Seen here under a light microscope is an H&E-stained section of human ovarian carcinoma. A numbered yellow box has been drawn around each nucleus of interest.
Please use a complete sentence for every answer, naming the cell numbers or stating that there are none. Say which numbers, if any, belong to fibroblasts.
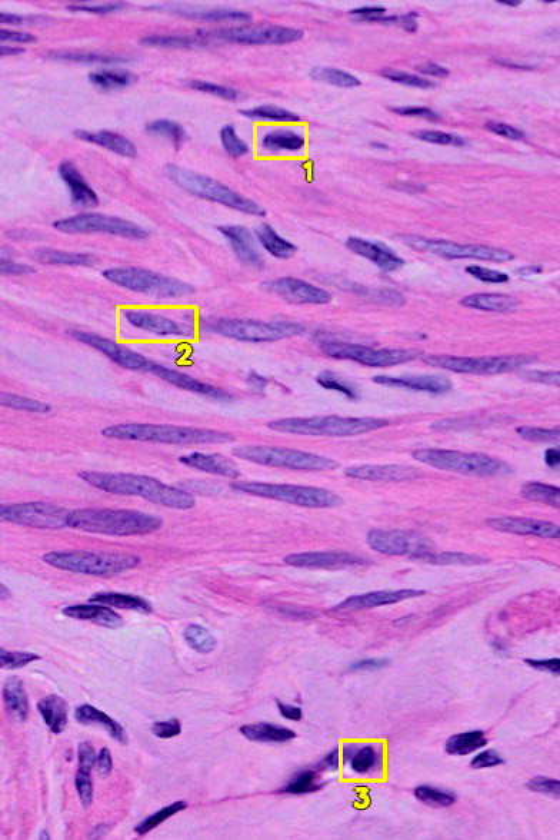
Only cell 1 is a fibroblast; none of the other numbered cells is.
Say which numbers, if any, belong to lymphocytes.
Of the cells bearing numbers, the only one that is a lymphocyte is cell 3.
